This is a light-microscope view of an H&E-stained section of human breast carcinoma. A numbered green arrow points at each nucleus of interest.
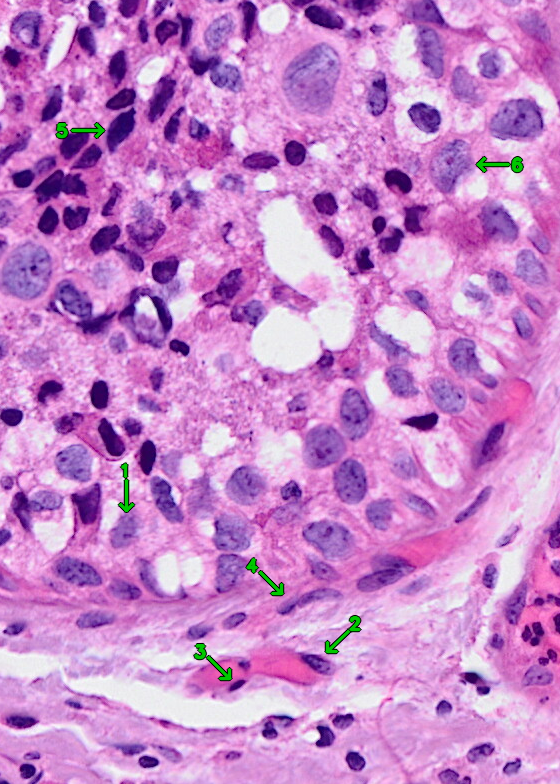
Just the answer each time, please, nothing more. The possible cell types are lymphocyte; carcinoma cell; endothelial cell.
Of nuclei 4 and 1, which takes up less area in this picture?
4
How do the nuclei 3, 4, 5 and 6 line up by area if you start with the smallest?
3, 4, 5, 6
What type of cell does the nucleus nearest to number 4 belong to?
endothelial cell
